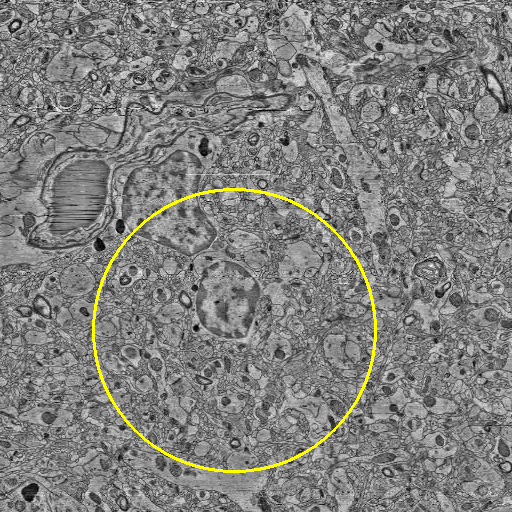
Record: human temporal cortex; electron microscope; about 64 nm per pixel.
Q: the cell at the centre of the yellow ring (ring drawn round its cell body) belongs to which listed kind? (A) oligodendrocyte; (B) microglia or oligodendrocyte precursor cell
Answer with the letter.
B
